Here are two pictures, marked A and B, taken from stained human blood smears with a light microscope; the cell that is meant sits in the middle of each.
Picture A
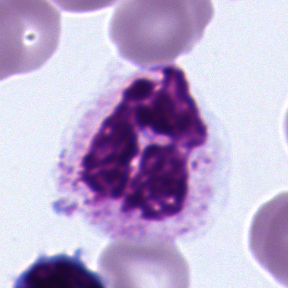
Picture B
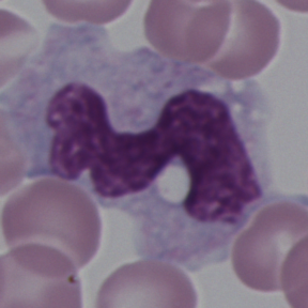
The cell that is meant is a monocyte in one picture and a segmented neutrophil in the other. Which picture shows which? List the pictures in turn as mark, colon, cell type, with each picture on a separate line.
A: segmented neutrophil
B: monocyte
